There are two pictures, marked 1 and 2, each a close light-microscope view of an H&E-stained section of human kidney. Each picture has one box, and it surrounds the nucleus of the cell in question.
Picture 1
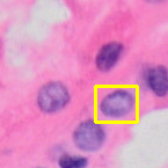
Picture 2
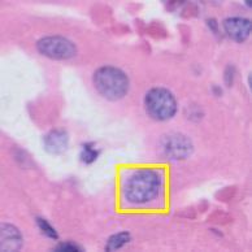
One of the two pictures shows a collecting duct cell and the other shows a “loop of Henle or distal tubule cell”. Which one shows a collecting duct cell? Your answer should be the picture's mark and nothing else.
1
